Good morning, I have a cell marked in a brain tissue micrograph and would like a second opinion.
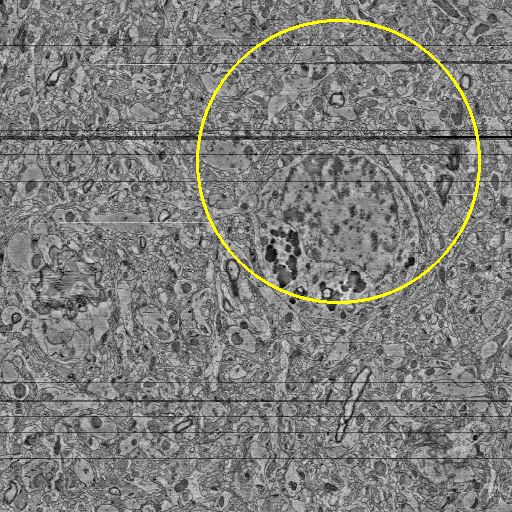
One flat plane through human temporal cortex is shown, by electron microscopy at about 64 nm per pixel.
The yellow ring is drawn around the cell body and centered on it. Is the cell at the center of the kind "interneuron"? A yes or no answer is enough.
yes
